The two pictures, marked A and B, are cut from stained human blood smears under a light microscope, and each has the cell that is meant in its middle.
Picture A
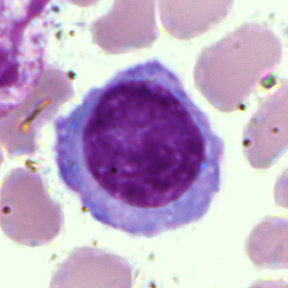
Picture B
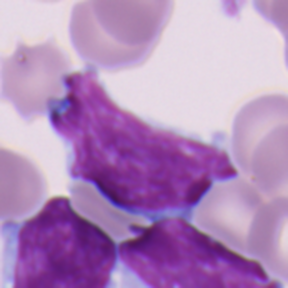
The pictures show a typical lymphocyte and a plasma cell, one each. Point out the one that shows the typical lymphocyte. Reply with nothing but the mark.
B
